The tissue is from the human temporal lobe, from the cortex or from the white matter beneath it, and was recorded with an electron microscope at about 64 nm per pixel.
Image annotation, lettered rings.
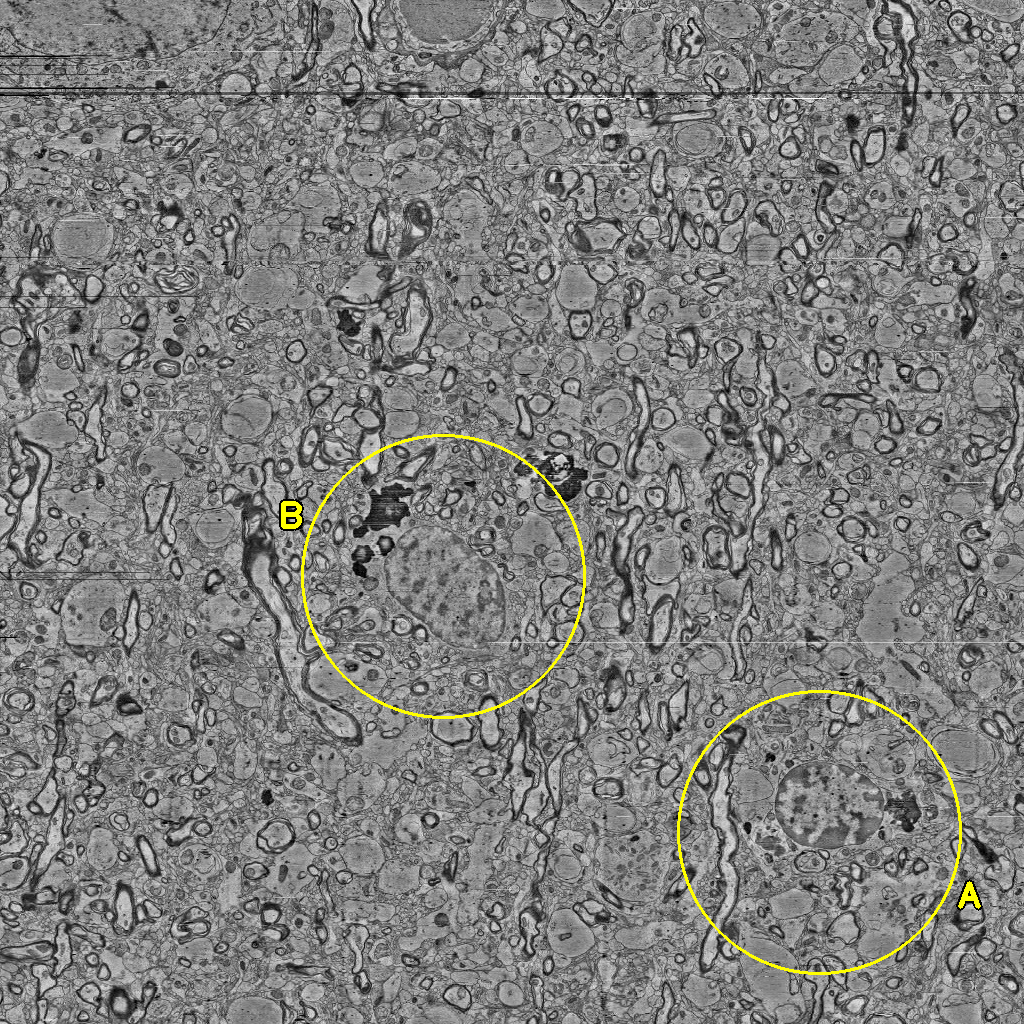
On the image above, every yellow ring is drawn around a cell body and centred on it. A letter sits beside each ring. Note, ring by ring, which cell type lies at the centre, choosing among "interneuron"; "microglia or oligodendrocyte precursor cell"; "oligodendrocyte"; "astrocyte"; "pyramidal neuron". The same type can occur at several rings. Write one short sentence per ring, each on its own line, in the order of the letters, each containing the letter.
Ring A has a microglial cell or oligodendrocyte precursor cell at its centre.
Ring B has an oligodendrocyte at its centre.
